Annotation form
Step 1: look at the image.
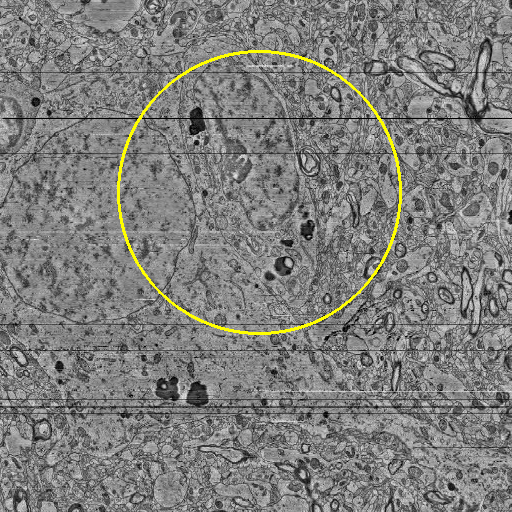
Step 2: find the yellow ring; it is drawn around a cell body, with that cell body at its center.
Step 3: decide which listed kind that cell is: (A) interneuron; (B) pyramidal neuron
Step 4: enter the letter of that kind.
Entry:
A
